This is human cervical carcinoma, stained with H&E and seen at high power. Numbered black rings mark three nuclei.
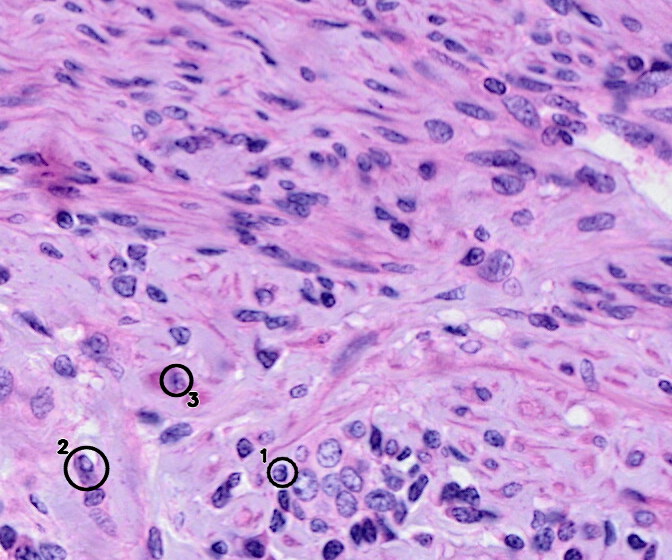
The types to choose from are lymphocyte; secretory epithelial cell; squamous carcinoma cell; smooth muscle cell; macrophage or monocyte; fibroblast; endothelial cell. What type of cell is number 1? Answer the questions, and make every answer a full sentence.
Cell 1, among those numbered, is a lymphocyte.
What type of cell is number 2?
The cell numbered 2 represents a macrophage or monocyte.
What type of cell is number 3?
The cell that carries the label 3 is a smooth muscle cell.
